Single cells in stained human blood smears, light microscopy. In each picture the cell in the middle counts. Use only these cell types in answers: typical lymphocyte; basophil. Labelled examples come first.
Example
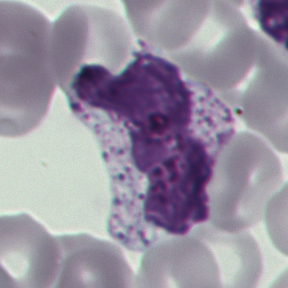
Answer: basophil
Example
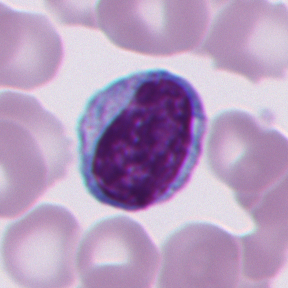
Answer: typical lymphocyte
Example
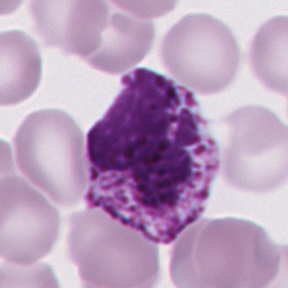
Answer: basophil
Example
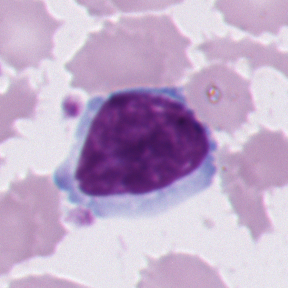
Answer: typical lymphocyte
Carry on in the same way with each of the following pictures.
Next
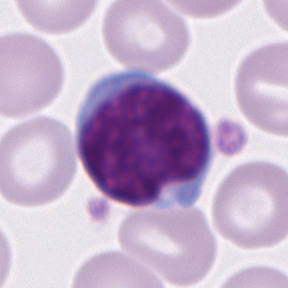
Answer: typical lymphocyte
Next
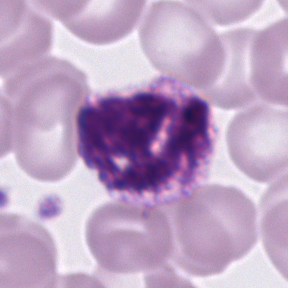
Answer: basophil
